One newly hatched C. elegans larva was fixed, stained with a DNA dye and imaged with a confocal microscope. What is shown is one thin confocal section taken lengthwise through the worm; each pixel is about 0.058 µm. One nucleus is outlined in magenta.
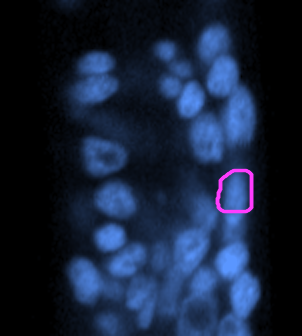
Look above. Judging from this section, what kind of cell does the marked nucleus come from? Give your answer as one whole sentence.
The marked nucleus is that of a neuron.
